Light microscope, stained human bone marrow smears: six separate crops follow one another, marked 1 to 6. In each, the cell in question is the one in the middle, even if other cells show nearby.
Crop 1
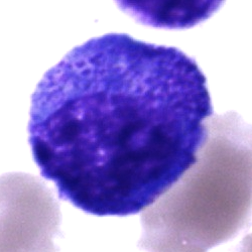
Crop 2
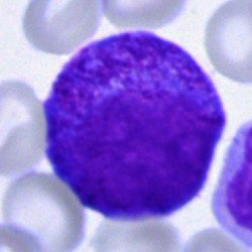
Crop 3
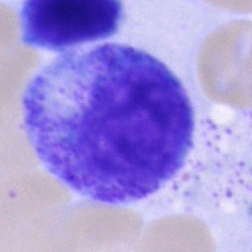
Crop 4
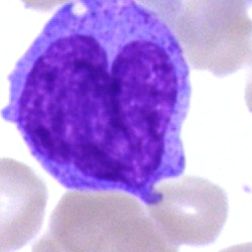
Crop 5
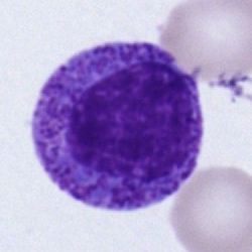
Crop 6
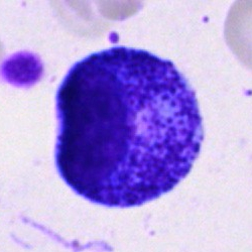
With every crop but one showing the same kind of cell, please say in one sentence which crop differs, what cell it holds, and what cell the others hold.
The one crop not showing promyelocytes is crop 4, which shows a monocyte.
